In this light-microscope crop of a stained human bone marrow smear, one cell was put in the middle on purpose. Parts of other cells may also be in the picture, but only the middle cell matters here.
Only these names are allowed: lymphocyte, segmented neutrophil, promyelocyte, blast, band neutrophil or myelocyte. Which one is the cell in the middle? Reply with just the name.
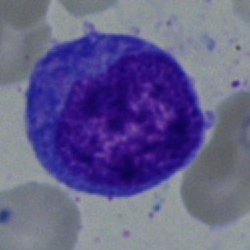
promyelocyte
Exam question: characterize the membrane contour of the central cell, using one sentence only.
There are no projections here; the outline is simply smooth.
